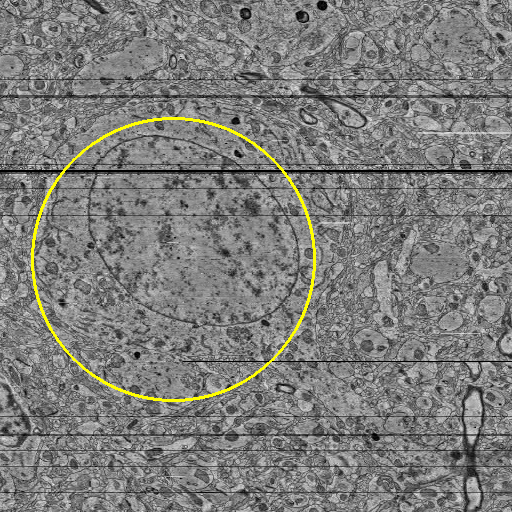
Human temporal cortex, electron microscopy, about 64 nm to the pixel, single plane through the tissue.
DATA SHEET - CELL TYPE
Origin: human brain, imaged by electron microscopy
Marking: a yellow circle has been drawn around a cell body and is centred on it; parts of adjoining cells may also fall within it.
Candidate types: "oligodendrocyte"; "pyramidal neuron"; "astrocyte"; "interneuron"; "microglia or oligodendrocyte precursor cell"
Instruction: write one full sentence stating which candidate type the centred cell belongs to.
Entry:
The cell body at the centre of the yellow ring in this micrograph belongs to a pyramidal neuron.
